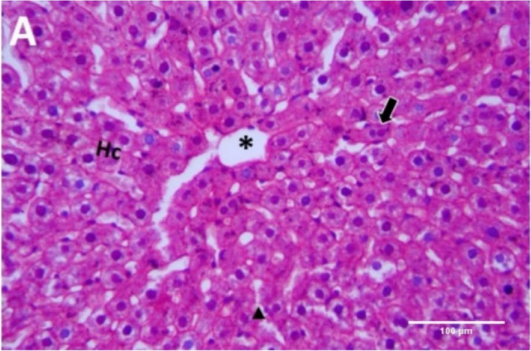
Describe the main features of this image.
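This is liver with its lobule intact: a round central vein lies in the middle, and from it cords of polygonal liver cells run outward, separated by narrow clear sinusoids. The liver cells have pink cytoplasm and round, centrally placed purple nuclei, and here and there a cell carries two nuclei. The cords are orderly and the cytoplasm evenly stained, with no pale or damaged areas.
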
